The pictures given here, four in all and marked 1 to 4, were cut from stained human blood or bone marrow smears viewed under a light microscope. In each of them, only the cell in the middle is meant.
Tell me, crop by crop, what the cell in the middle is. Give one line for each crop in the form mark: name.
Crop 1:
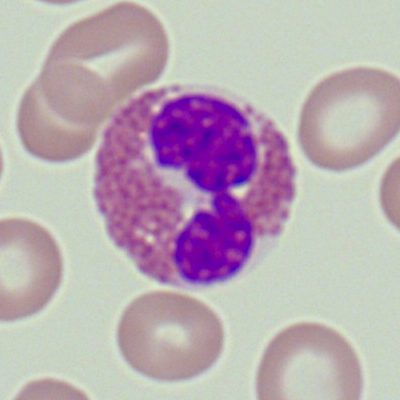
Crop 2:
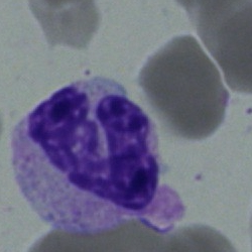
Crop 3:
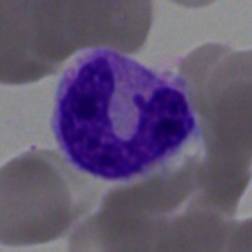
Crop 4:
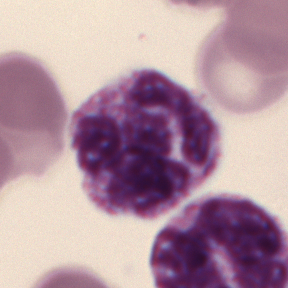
1: eosinophil
2: band neutrophil
3: band neutrophil
4: segmented neutrophil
